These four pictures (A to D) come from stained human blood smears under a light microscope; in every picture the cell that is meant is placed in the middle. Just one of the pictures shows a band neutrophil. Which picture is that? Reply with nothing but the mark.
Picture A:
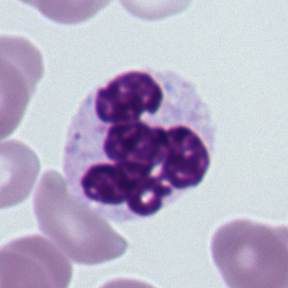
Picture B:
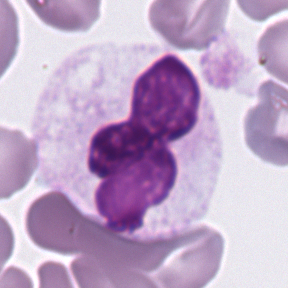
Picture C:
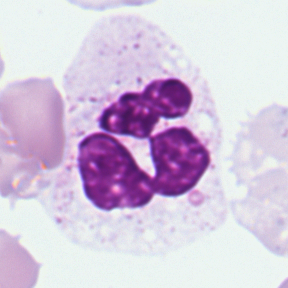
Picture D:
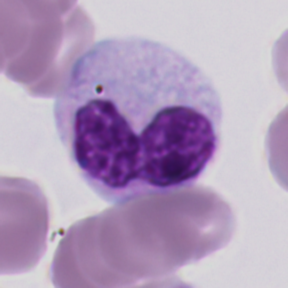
D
